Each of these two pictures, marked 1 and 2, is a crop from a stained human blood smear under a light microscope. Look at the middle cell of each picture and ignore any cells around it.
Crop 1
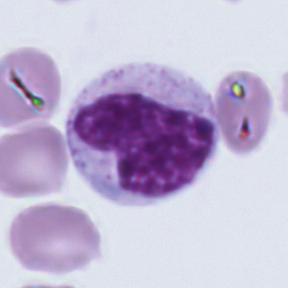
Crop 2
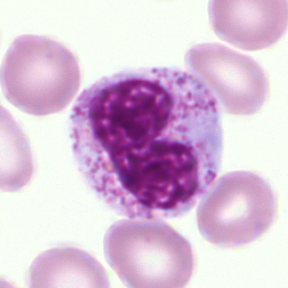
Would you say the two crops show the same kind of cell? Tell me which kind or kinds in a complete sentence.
No, crop 1 shows a metamyelocyte, with a band neutrophil shown in crop 2.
